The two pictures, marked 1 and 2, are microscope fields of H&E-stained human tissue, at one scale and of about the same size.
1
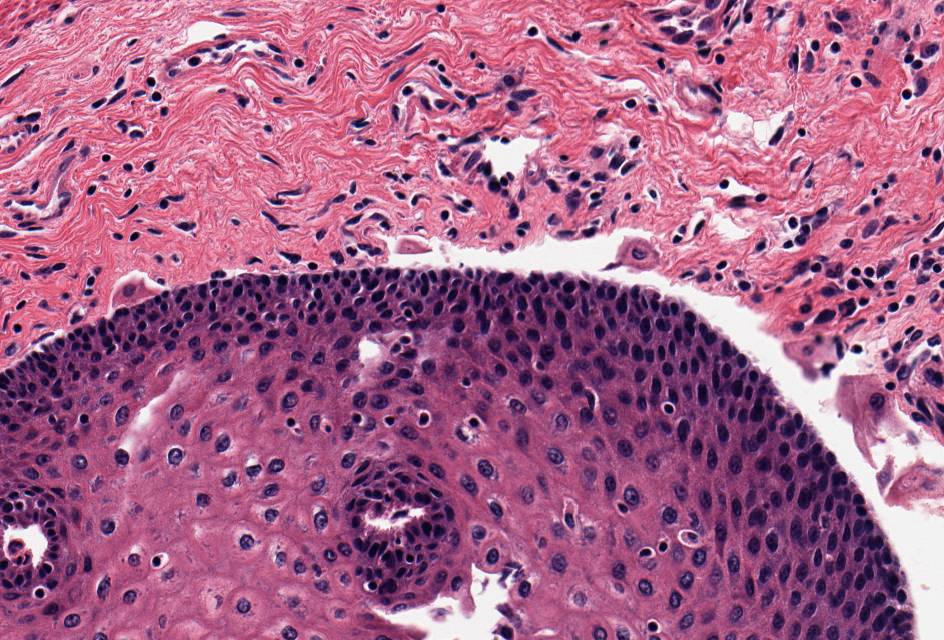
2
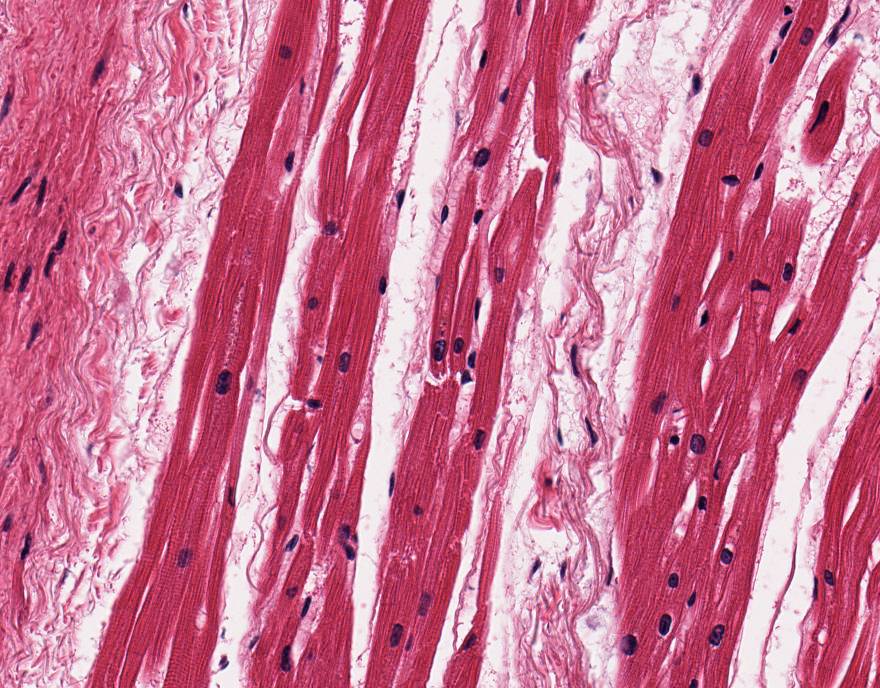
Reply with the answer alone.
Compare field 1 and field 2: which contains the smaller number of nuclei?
2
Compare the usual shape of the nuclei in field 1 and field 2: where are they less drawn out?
1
